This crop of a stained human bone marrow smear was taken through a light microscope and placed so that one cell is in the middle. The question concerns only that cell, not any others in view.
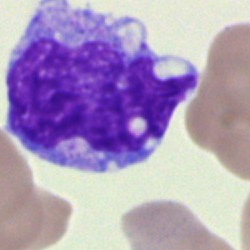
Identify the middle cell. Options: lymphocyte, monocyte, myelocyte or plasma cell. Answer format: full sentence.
Looking at the middle of the crop, the cell there is a monocyte.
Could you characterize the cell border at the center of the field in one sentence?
The cell is bounded by a ragged or projection-bearing margin rather than a smooth one.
